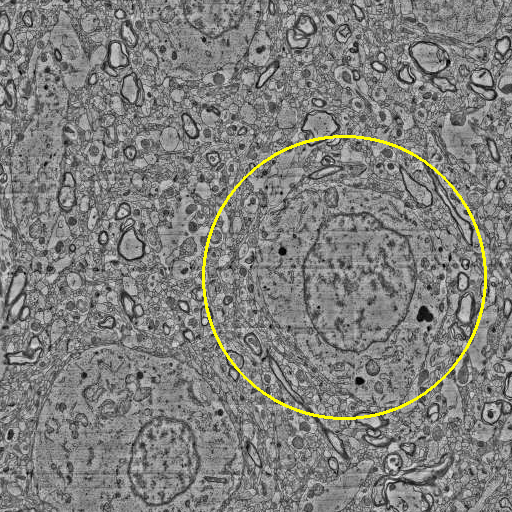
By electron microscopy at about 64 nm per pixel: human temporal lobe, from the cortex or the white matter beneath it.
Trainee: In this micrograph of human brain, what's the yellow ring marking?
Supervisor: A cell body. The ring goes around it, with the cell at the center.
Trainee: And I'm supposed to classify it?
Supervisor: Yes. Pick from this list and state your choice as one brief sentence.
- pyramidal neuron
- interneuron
The cell at the ring's center is a pyramidal neuron.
